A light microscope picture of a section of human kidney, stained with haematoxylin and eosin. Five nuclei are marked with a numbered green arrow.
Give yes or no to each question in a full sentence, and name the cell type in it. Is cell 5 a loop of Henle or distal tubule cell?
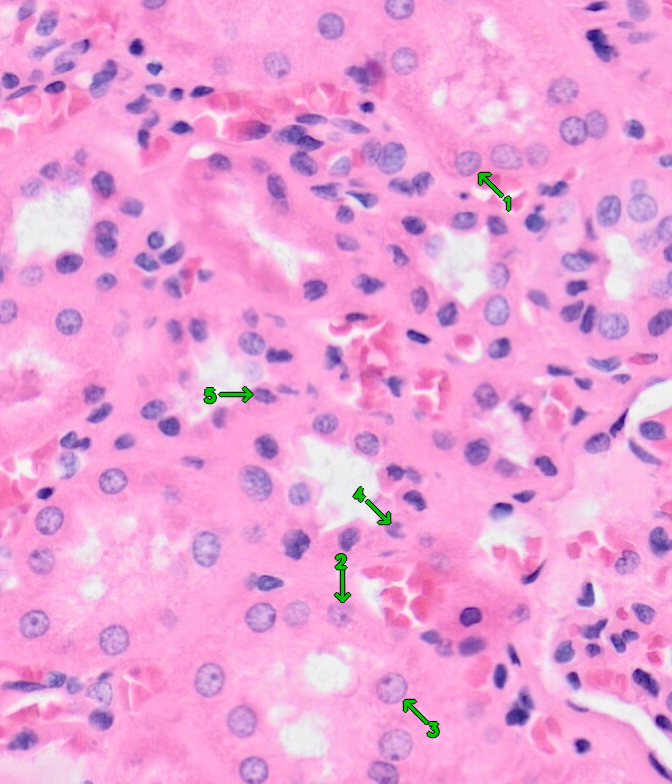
Yes, the cell distinguished by number 5 is a loop of Henle or distal tubule cell.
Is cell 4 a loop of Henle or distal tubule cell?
Yes, the cell referred to as number 4 is a loop of Henle or distal tubule cell.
